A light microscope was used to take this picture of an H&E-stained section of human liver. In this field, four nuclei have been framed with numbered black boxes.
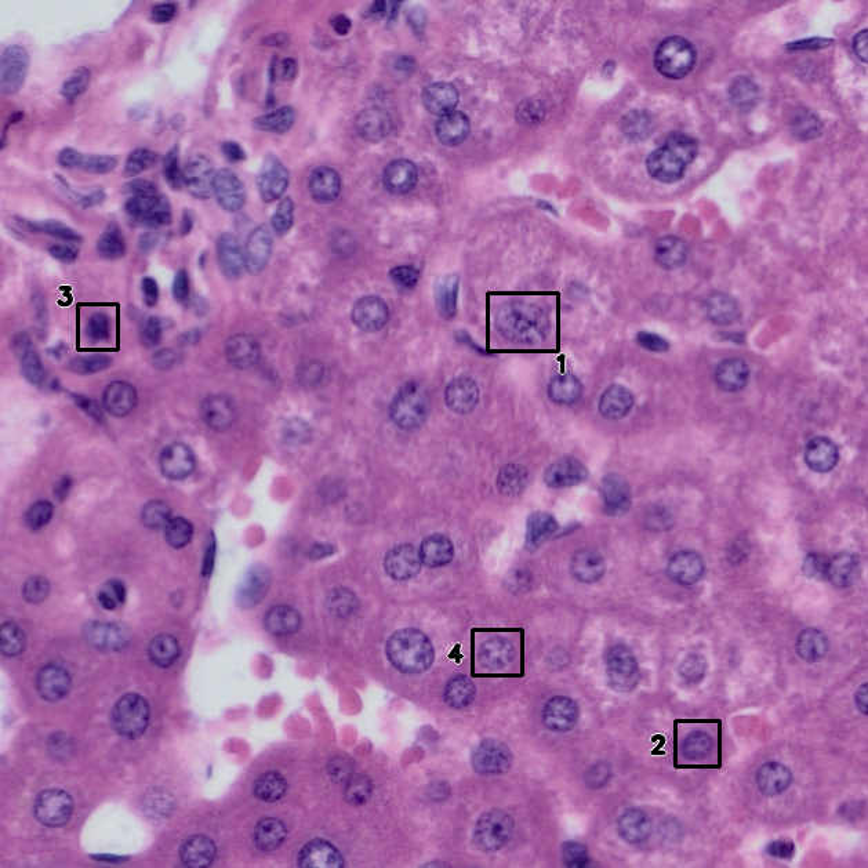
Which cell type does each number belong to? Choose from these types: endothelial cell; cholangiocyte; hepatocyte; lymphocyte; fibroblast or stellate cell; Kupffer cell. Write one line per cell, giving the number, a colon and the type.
1: hepatocyte
2: hepatocyte
3: fibroblast or stellate cell
4: hepatocyte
